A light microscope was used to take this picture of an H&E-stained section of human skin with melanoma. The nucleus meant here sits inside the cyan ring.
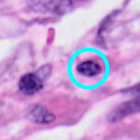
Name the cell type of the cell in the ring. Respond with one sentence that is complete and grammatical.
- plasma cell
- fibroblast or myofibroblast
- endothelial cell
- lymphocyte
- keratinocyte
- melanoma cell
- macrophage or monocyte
In the context of this tissue, the cell in the ring is a plasma cell.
